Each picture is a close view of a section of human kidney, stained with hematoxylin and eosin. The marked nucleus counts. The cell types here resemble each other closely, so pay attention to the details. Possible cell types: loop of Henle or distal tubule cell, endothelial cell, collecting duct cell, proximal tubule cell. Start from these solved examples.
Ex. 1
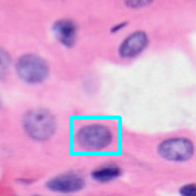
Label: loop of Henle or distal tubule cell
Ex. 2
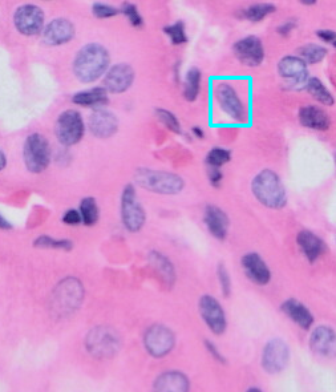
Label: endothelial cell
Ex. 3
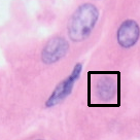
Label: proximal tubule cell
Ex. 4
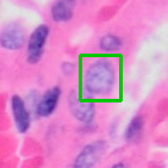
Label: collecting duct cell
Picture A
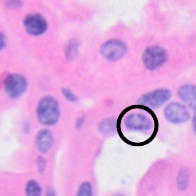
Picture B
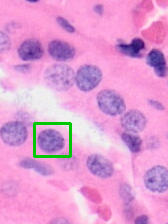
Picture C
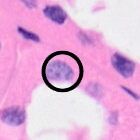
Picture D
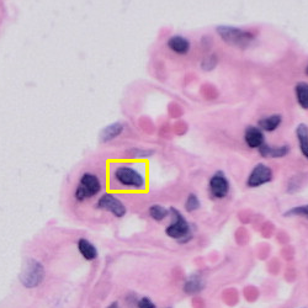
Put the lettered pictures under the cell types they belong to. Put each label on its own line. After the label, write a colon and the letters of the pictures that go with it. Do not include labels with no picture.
loop of Henle or distal tubule cell: C
endothelial cell: D
collecting duct cell: A, B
